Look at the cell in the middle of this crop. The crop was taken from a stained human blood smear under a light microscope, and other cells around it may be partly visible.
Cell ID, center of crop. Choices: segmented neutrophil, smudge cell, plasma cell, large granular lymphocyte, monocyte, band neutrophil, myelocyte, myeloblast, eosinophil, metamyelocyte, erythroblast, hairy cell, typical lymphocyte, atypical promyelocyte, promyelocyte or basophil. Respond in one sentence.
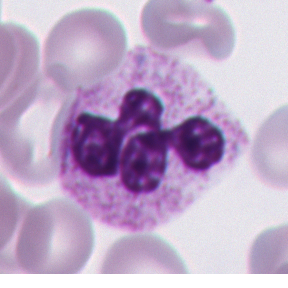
The cell of interest, located centrally, is a segmented neutrophil.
